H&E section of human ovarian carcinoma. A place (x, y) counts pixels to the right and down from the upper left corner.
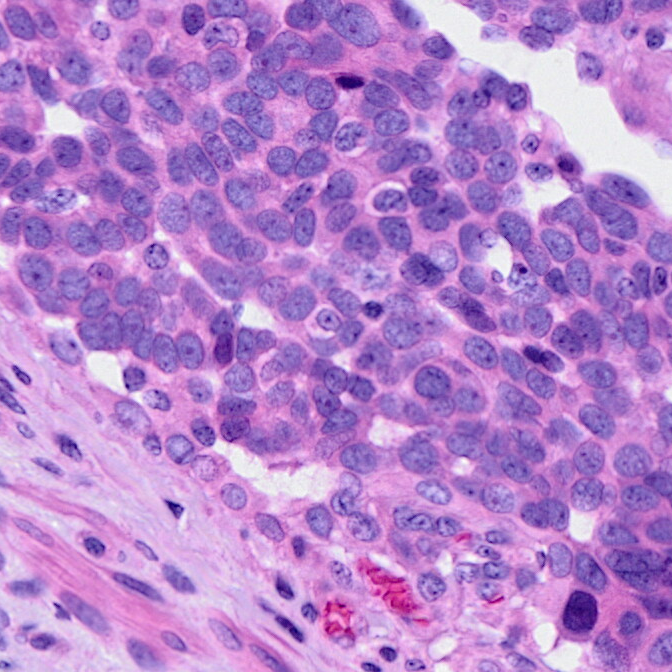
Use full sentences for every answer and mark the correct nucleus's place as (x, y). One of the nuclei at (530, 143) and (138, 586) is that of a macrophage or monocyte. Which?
The nucleus that sits at (530, 143) is the nucleus of a macrophage or monocyte.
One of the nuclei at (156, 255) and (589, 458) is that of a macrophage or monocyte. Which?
It is the nucleus at (156, 255), not the other one, that belongs to a macrophage or monocyte.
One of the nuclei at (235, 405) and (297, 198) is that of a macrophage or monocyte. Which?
Heads up, the nucleus at (297, 198) is the one that belongs to a macrophage or monocyte.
